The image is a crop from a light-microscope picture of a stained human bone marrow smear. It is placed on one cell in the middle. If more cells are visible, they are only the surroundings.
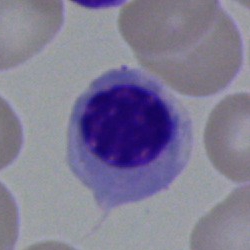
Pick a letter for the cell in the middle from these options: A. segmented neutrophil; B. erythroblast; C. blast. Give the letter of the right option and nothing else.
B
